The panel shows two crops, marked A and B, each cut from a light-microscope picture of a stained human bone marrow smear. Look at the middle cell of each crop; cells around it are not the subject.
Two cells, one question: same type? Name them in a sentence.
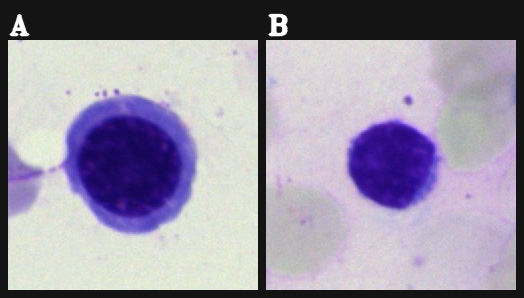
No, crop A displays an erythroblast, and crop B displays a lymphocyte.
